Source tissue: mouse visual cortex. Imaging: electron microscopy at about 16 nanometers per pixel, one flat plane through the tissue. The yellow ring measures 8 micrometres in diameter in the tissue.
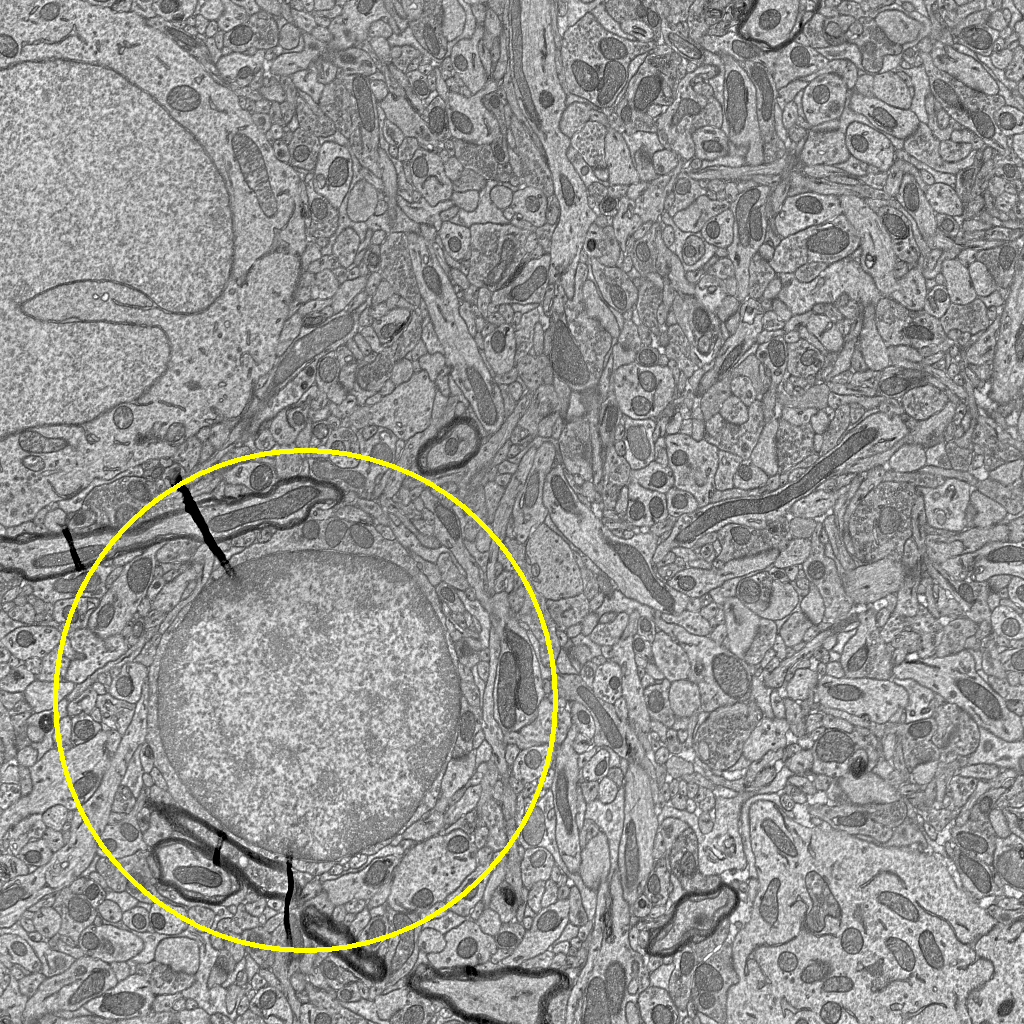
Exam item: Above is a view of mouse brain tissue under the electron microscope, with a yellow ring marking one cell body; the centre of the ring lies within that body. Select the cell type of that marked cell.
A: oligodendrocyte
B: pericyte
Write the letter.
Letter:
A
